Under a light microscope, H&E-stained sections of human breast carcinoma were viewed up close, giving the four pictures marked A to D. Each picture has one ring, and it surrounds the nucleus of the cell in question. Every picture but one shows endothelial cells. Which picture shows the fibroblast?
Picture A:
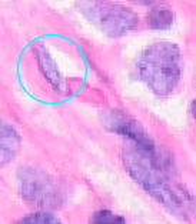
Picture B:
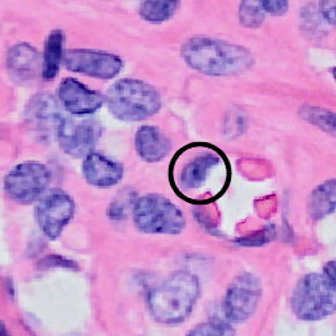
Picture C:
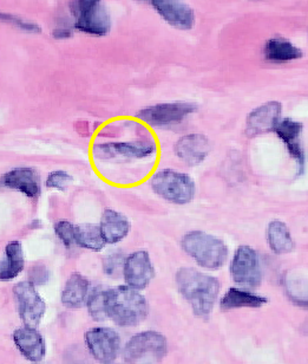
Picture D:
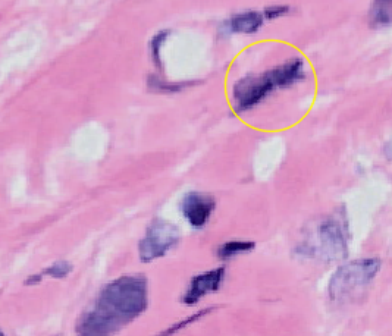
D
